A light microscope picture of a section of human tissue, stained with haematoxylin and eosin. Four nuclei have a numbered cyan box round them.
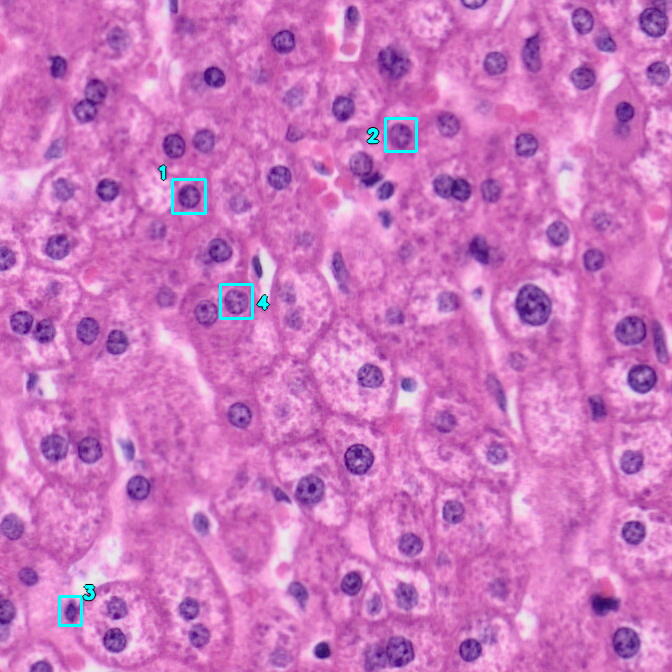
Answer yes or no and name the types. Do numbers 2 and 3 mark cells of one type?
No, cell 2 is a hepatocyte, and in contrast cell 3 is a fibroblast or stellate cell.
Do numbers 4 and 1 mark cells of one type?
Yes, cells 4 and 1 both qualify as hepatocytes.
